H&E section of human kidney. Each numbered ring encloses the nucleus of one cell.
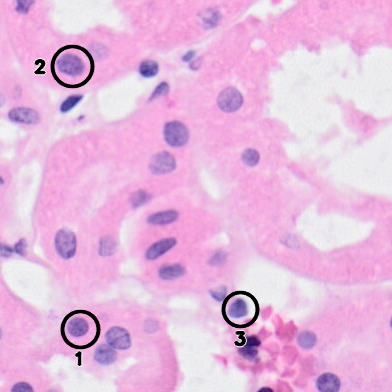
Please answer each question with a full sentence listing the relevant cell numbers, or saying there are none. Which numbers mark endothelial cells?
The cell marked by number 3 is an endothelial cell; the other marked cells are not.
